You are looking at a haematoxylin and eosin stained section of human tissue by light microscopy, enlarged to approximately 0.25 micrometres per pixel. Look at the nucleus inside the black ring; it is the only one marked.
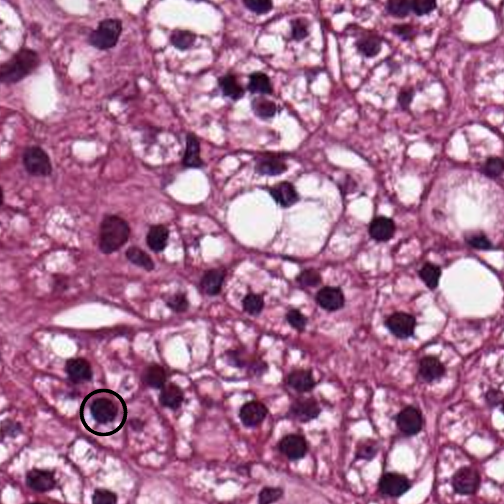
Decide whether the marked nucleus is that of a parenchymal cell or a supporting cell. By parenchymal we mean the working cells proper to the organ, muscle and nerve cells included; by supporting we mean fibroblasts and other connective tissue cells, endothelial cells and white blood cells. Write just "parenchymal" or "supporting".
parenchymal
